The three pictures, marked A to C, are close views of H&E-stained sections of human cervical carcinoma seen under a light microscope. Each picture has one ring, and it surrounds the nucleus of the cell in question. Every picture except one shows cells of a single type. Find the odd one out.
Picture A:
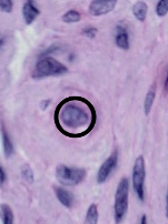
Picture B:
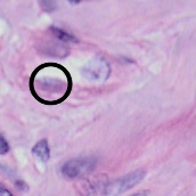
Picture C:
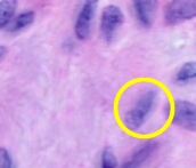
C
